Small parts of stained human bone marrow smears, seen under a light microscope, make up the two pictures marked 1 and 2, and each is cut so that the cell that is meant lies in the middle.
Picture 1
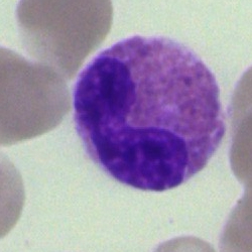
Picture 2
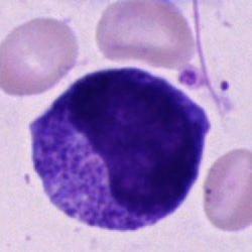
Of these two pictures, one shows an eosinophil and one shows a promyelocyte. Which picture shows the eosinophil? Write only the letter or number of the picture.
1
